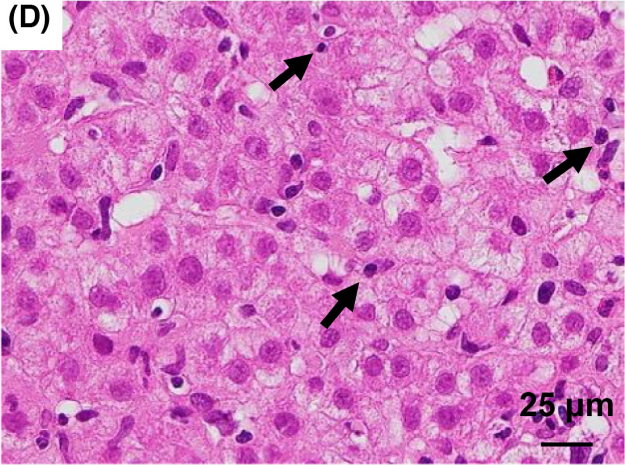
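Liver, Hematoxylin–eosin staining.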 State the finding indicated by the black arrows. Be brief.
Emperipolesis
